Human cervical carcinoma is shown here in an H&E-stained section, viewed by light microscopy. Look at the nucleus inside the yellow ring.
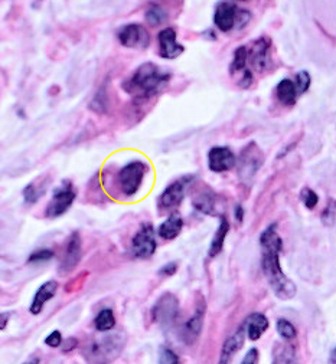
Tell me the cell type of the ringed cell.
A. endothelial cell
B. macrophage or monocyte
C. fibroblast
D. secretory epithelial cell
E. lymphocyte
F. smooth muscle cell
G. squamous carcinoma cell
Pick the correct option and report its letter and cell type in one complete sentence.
Option E wins here: the ringed cell is a lymphocyte.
